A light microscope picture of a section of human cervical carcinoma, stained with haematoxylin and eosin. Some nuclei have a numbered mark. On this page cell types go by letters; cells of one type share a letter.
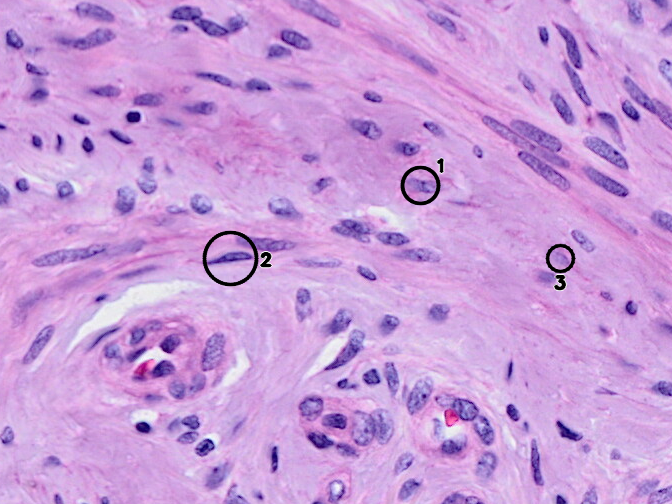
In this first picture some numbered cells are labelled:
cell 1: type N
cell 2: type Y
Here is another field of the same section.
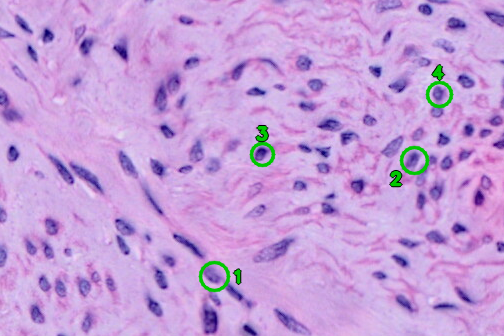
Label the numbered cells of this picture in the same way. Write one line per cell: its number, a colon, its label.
1: type Y
2: type N
3: type N
4: type N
